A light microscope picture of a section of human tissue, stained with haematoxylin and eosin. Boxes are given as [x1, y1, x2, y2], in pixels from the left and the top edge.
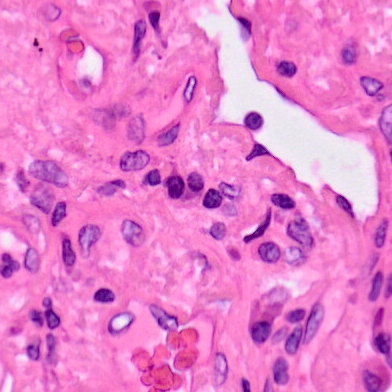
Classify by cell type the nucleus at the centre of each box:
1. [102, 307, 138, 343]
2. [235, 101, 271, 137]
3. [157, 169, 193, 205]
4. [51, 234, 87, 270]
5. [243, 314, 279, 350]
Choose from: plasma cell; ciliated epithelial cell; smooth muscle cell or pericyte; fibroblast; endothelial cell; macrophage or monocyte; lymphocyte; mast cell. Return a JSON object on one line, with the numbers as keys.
{"1": "endothelial cell", "2": "lymphocyte", "3": "plasma cell", "4": "plasma cell", "5": "plasma cell"}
